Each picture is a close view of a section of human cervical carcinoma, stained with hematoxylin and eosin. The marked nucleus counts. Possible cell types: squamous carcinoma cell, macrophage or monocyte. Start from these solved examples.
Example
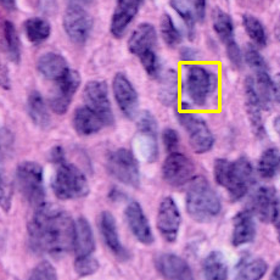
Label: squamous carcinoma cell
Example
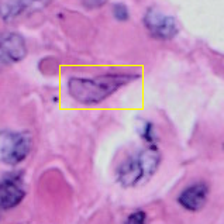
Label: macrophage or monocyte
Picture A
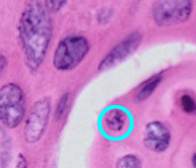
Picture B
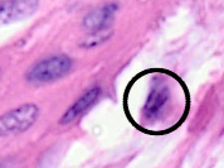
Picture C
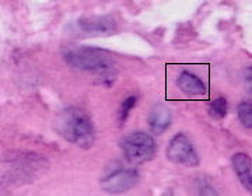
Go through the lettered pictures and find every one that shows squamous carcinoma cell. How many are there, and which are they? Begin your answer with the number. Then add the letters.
Count: 2 (A, C)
